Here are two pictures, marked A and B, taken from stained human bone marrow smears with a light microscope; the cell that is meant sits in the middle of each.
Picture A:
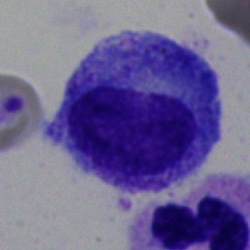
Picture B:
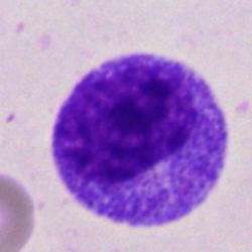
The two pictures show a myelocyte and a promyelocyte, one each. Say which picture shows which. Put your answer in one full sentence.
The cell in picture A is a promyelocyte, and the one in picture B is a myelocyte.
